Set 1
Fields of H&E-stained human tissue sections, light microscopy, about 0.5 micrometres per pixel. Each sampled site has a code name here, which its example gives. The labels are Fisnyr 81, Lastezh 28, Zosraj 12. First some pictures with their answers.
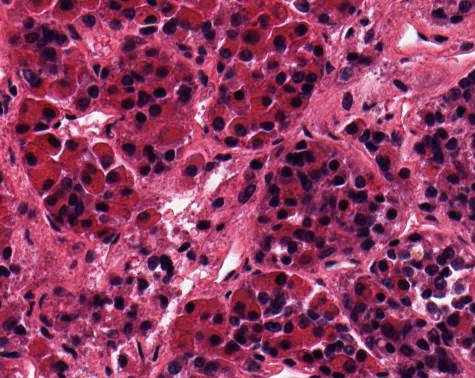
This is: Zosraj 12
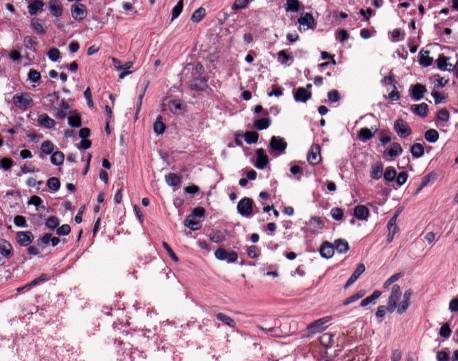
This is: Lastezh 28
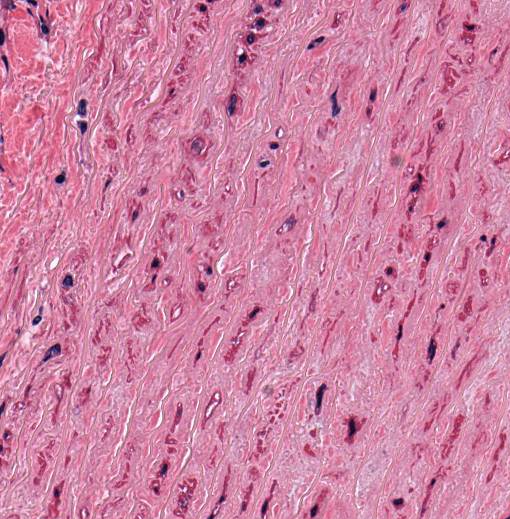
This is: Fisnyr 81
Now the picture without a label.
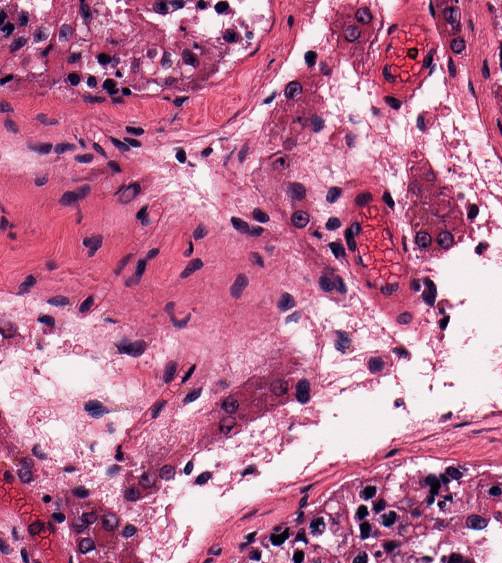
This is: Lastezh 28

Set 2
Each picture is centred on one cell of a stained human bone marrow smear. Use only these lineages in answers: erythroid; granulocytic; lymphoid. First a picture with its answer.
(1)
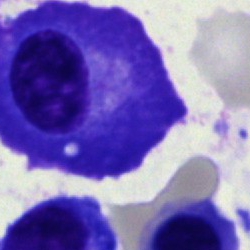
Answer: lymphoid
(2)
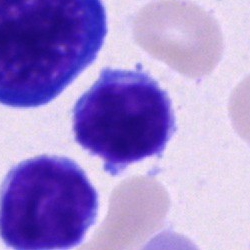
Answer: lymphoid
